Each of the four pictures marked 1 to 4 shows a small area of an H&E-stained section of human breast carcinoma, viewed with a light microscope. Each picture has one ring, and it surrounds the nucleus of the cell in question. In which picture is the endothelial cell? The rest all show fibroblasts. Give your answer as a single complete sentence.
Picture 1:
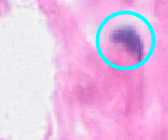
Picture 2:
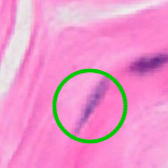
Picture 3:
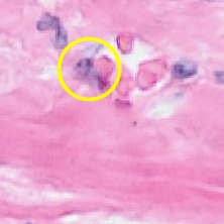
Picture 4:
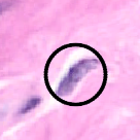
The endothelial cell is the one in picture 3.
